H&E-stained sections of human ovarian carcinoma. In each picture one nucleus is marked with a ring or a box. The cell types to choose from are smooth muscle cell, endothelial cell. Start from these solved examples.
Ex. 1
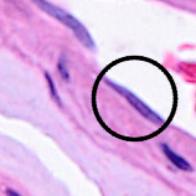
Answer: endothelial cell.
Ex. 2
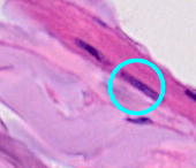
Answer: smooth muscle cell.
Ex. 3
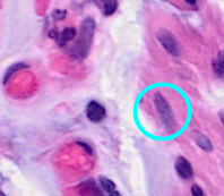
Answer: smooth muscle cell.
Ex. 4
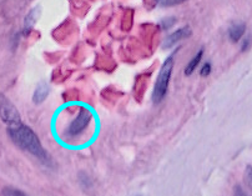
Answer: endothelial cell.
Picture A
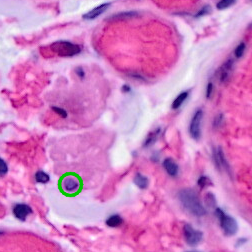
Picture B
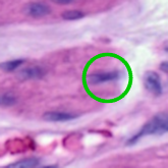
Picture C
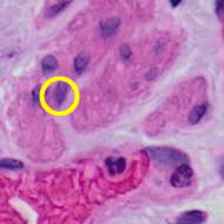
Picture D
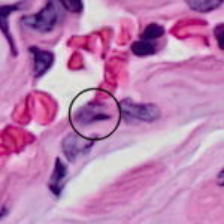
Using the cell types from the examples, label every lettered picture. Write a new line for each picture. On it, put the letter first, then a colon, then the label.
A: smooth muscle cell.
B: smooth muscle cell.
C: smooth muscle cell.
D: endothelial cell.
